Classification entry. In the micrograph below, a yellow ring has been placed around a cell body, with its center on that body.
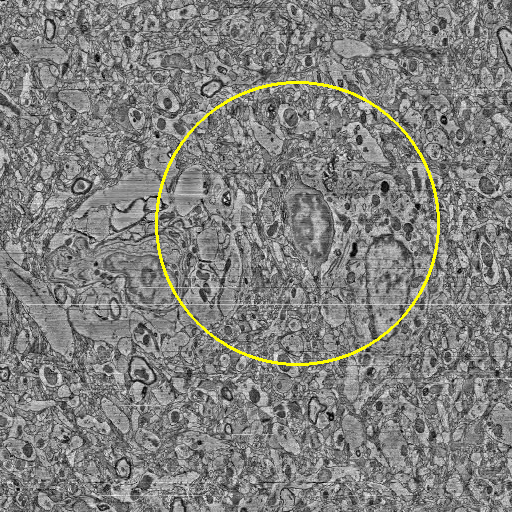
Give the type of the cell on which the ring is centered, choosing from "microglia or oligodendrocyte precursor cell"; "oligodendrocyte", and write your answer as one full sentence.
The cell body at the center of the yellow ring belongs to an oligodendrocyte.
